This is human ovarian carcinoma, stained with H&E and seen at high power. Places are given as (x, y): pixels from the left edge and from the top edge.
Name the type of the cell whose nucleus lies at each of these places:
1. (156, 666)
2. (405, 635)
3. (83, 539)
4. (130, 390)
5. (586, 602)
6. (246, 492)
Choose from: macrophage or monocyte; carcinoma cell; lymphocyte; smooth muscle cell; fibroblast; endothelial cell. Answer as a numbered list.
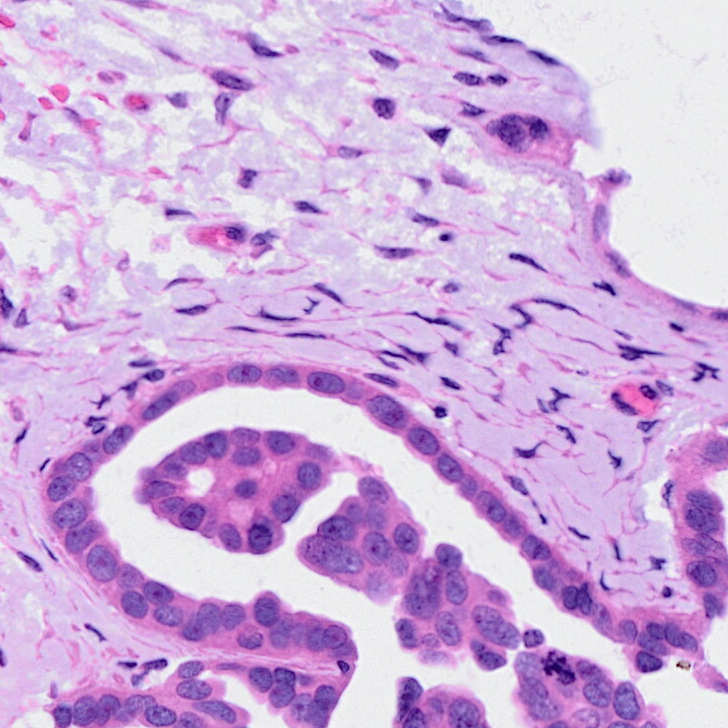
1. fibroblast
2. carcinoma cell
3. carcinoma cell
4. fibroblast
5. carcinoma cell
6. carcinoma cell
